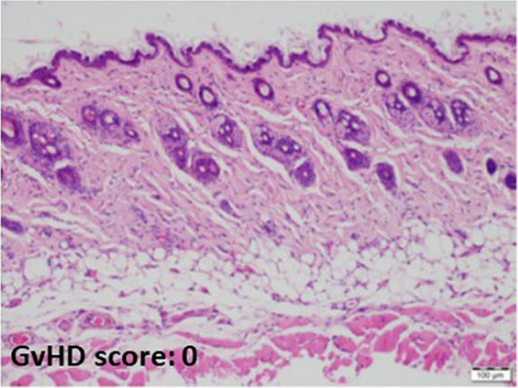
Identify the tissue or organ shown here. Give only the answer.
skin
